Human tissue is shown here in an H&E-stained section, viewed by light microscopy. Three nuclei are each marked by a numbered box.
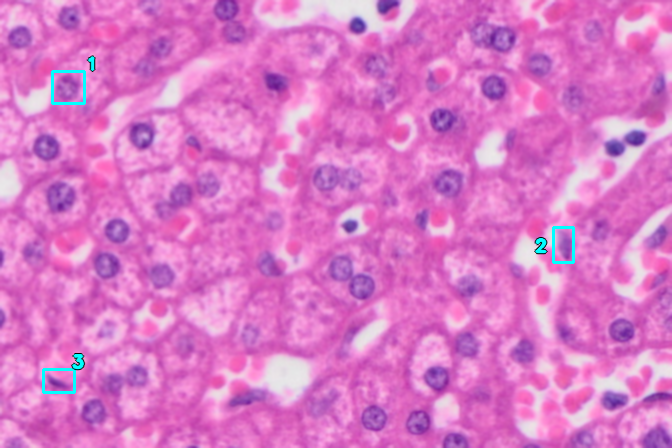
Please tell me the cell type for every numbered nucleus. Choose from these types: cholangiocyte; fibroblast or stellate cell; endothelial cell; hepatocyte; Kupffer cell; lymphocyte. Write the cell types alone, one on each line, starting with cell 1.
hepatocyte
endothelial cell
endothelial cell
